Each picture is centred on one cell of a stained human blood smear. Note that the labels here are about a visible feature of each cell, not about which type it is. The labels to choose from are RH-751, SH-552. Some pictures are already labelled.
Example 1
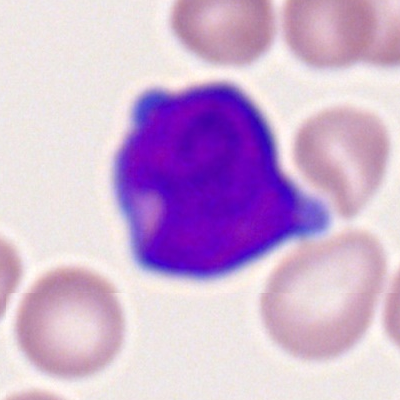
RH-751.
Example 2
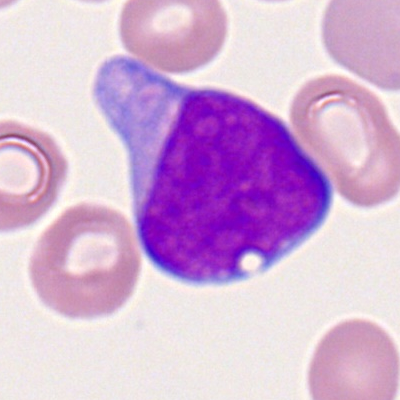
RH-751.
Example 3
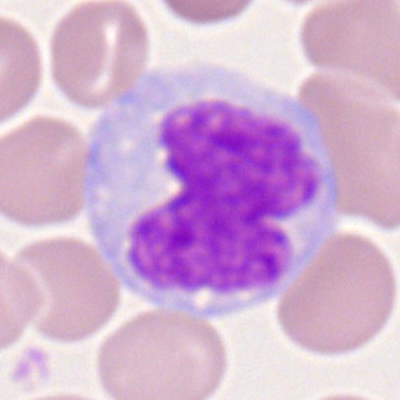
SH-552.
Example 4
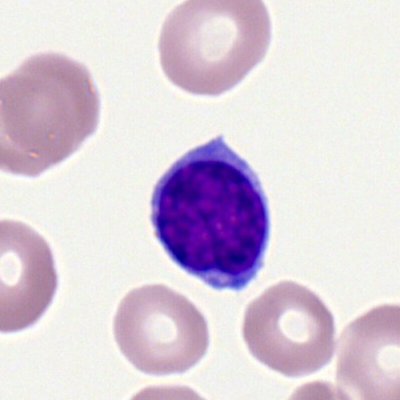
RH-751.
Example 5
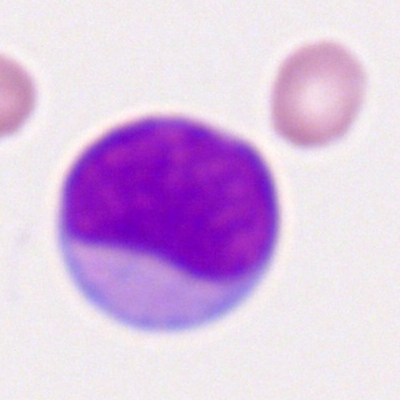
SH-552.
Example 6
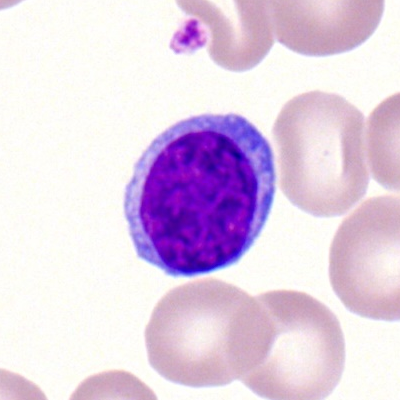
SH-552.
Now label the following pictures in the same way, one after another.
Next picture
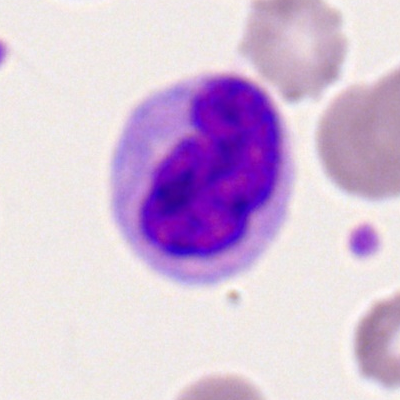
SH-552.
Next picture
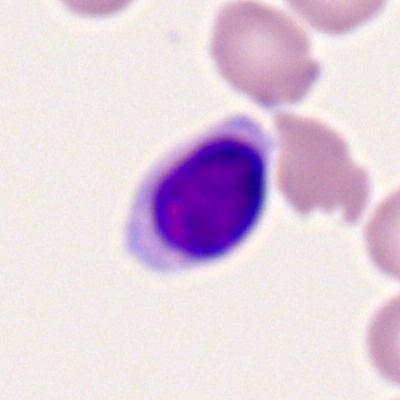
SH-552.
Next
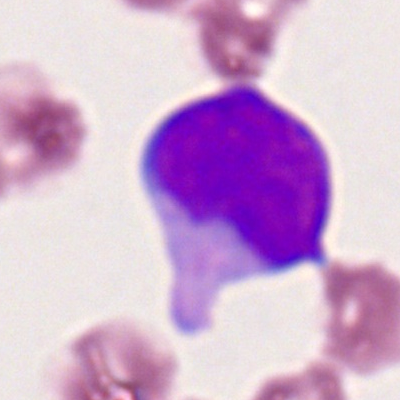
RH-751.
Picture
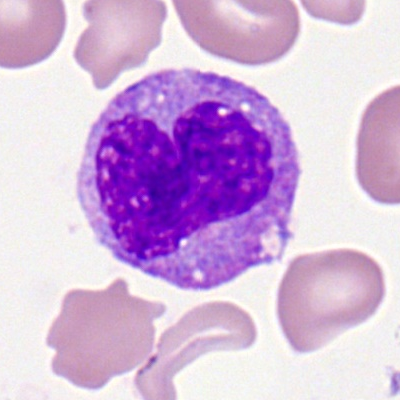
SH-552.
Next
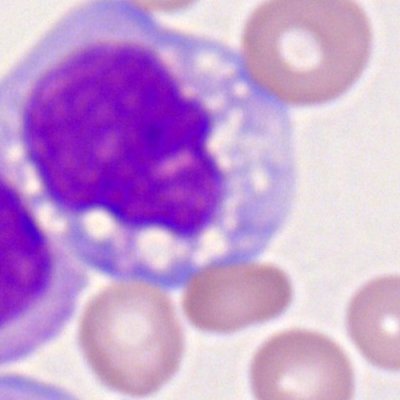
SH-552.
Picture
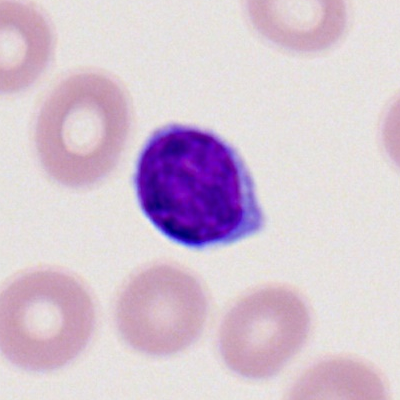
RH-751.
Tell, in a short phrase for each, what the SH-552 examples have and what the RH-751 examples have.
SH-552, smooth outline; RH-751, ragged outline or projections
